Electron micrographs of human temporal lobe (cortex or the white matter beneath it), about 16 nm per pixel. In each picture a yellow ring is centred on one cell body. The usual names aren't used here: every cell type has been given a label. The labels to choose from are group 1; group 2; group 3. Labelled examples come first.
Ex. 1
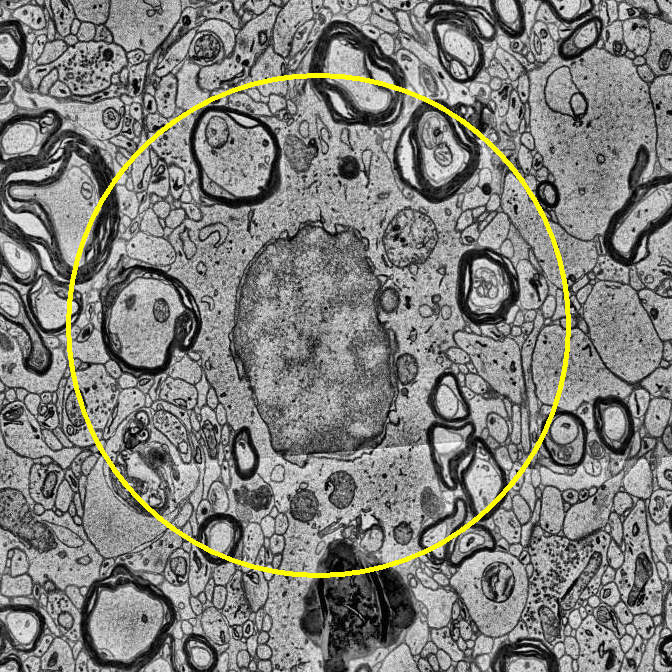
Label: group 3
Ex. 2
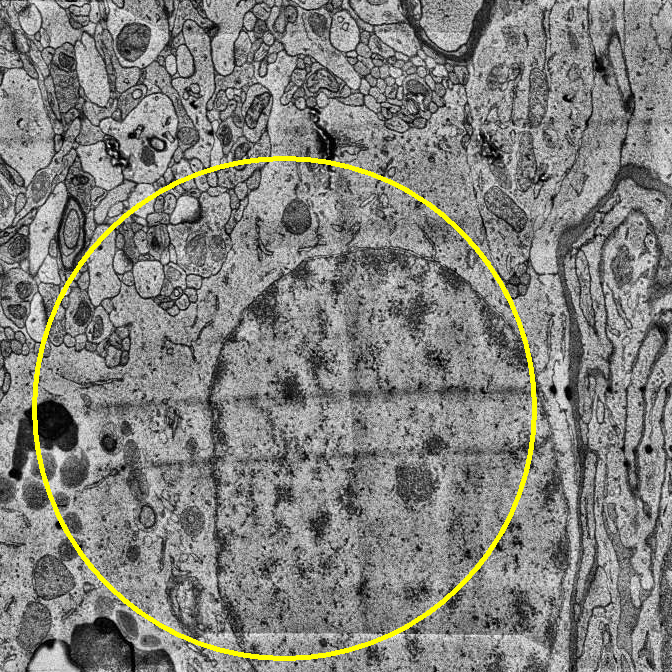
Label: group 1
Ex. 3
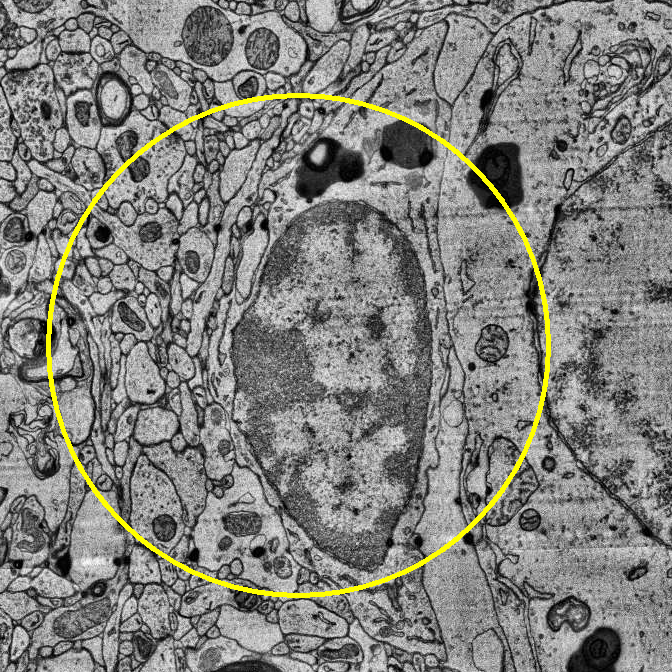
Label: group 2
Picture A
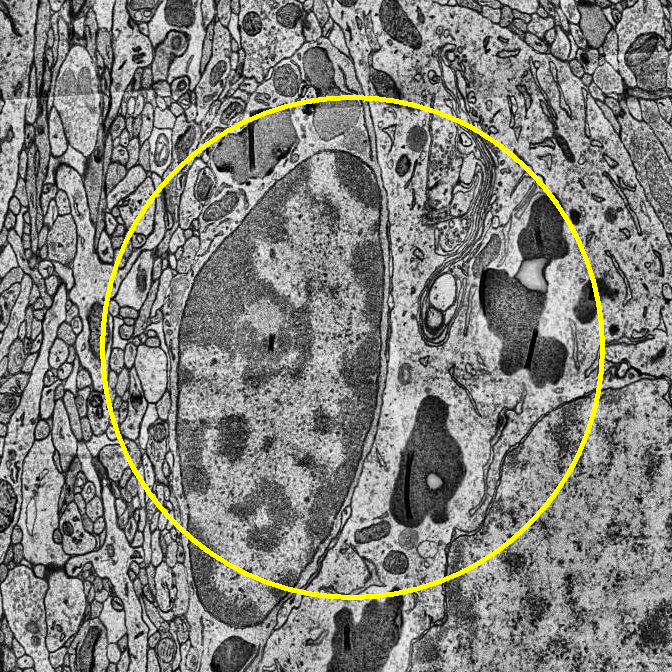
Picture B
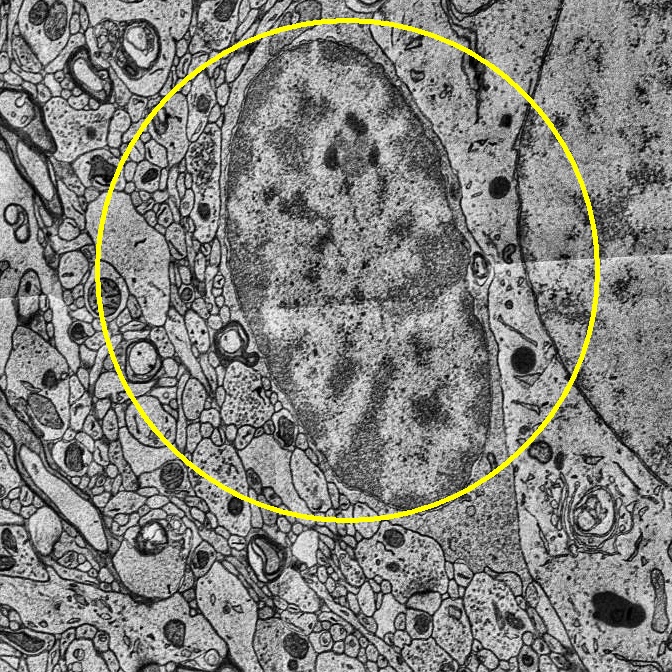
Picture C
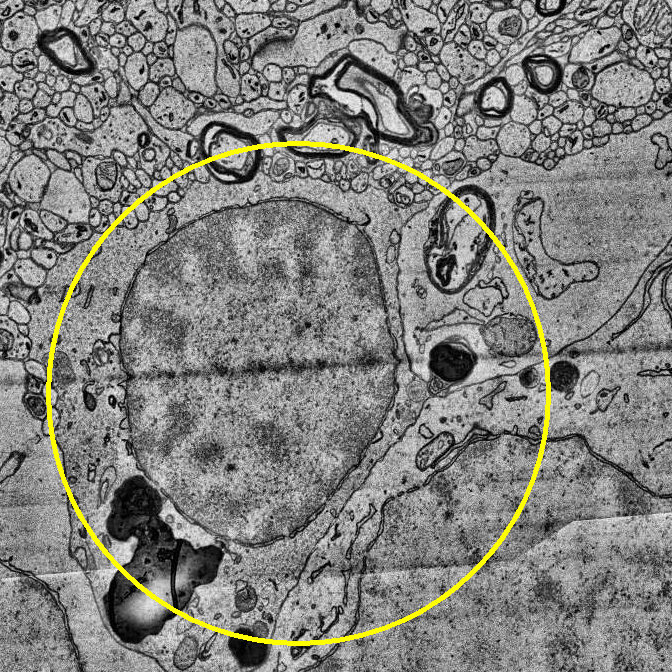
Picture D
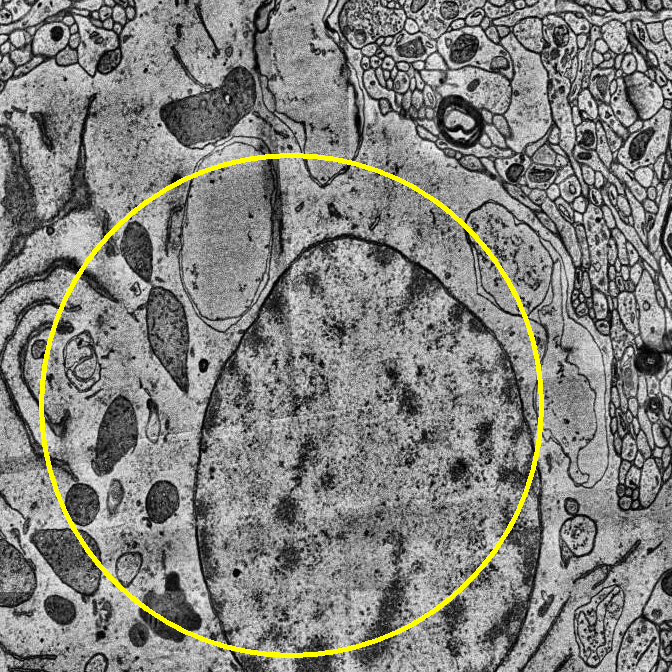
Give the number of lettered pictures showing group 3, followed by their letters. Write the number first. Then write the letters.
2, namely B, C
